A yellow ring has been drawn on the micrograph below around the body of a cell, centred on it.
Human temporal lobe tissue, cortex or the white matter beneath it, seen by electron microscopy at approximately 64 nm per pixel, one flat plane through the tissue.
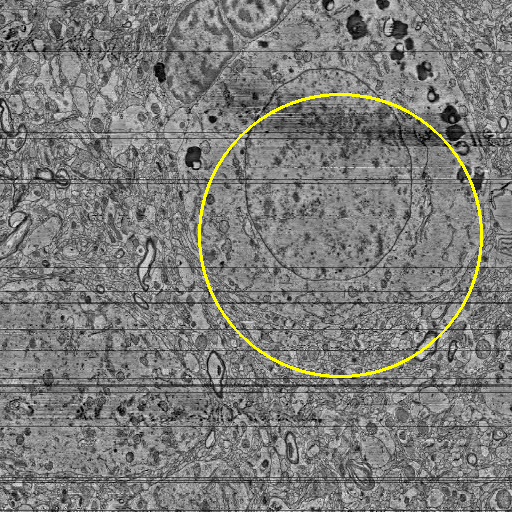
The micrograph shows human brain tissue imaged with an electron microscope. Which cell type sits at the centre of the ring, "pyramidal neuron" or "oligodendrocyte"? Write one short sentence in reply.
The cell sitting at the centre of the ring is a pyramidal neuron.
